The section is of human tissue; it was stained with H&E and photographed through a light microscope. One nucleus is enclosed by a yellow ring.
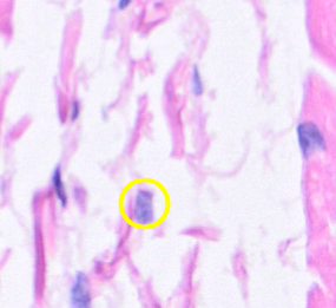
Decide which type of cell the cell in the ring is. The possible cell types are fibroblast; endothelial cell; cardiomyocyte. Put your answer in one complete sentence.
The cell type of the cell in the ring is that of a fibroblast.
